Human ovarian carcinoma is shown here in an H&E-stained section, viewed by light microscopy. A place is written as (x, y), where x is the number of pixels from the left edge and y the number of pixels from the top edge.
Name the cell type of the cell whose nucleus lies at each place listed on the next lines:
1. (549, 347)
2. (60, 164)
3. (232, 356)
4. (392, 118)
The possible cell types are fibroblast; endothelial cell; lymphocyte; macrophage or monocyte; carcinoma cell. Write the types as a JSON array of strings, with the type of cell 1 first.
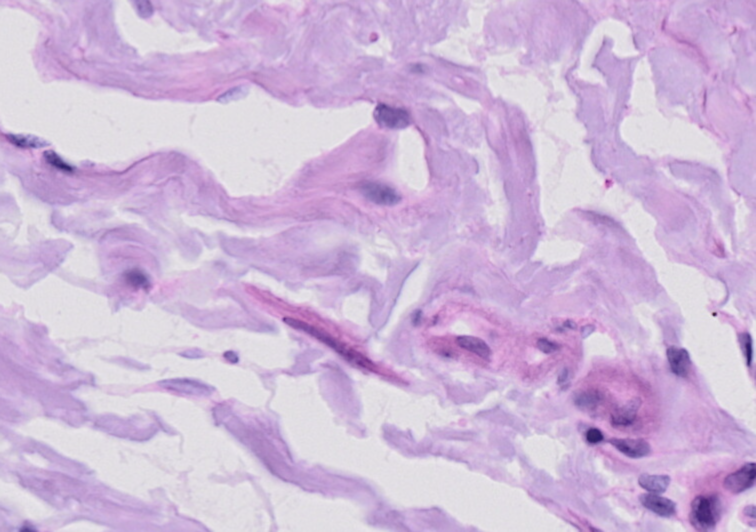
["endothelial cell", "endothelial cell", "lymphocyte", "endothelial cell"]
